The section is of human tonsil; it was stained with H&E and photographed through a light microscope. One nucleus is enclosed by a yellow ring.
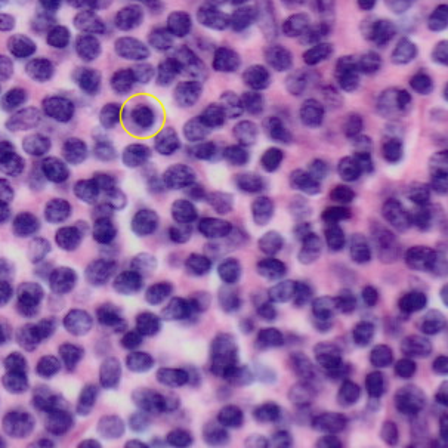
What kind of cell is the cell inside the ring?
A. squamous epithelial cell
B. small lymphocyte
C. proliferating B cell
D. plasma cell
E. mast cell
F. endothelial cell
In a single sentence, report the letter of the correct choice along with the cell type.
Option B gets it right: the cell inside the ring is a small lymphocyte.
